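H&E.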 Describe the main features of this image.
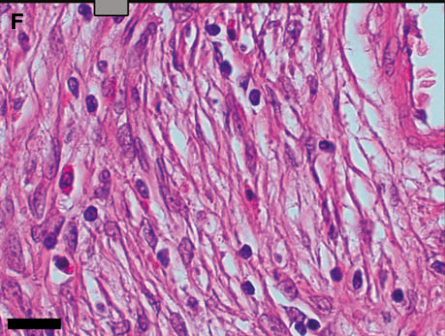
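Densely packed, relatively plump mesenchymal spindle to oval cells fill this field, arranged in parallel wavy streams. Scattered among them are infiltrating eosinophils with bright red granular cytoplasm.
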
